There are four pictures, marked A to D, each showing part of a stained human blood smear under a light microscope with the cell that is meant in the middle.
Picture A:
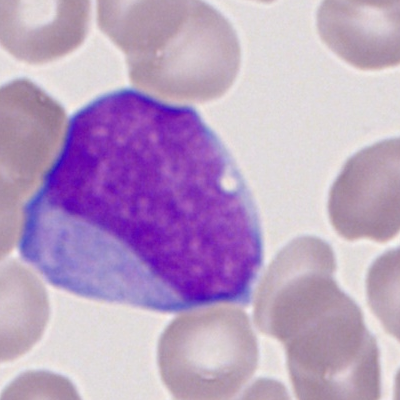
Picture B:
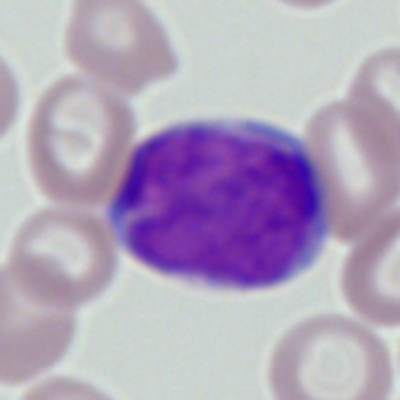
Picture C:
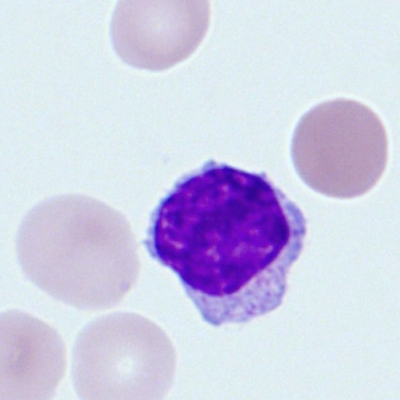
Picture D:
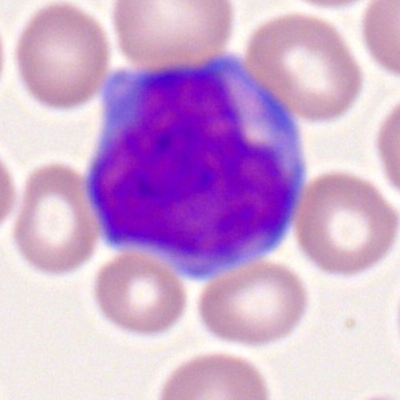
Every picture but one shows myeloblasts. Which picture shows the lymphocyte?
C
